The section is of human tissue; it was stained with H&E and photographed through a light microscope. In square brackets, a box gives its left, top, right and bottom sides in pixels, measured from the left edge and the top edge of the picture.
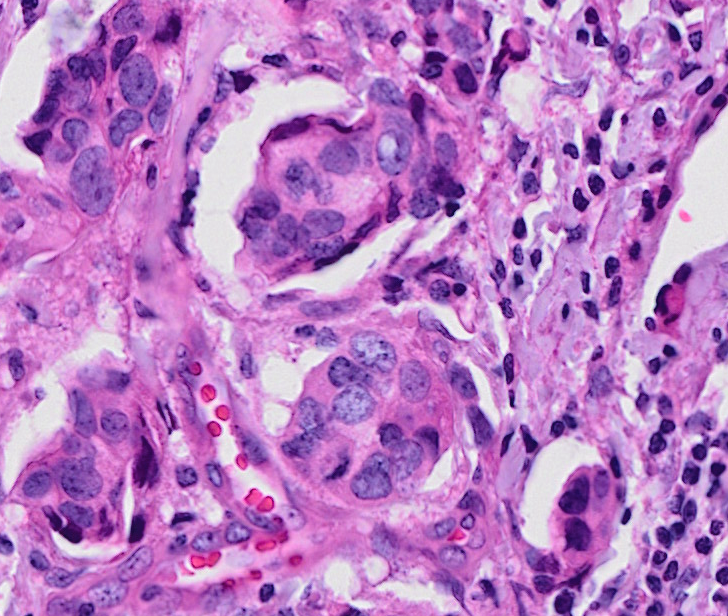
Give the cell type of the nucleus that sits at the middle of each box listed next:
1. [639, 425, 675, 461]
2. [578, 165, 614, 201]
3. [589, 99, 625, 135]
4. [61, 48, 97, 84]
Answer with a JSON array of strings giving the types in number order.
["lymphocyte", "lymphocyte", "lymphocyte", "carcinoma cell"]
